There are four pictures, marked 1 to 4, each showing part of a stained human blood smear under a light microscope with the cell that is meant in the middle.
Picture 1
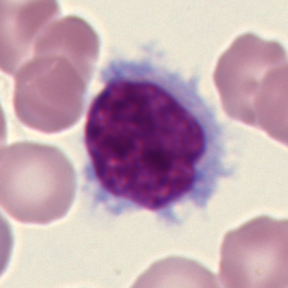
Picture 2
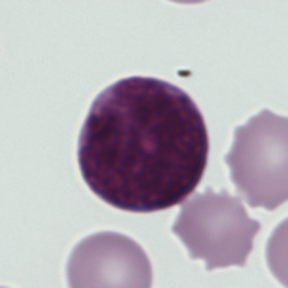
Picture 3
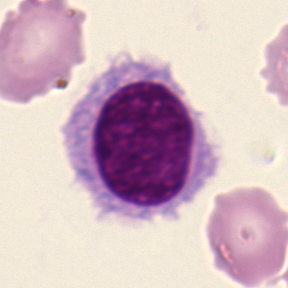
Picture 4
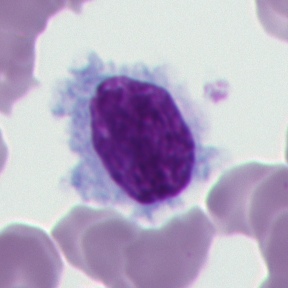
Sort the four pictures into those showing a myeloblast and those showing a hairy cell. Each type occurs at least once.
1: hairy cell
2: myeloblast
3: hairy cell
4: hairy cell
